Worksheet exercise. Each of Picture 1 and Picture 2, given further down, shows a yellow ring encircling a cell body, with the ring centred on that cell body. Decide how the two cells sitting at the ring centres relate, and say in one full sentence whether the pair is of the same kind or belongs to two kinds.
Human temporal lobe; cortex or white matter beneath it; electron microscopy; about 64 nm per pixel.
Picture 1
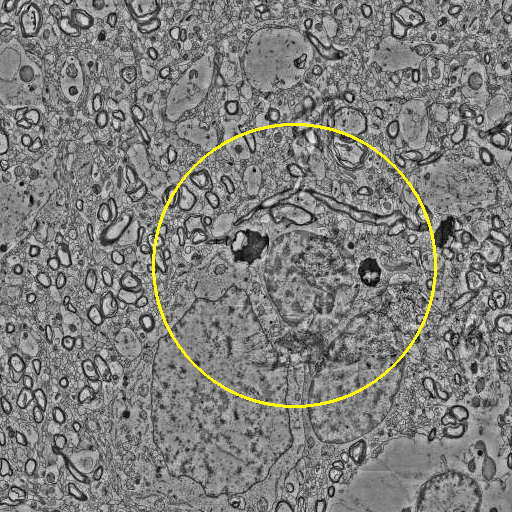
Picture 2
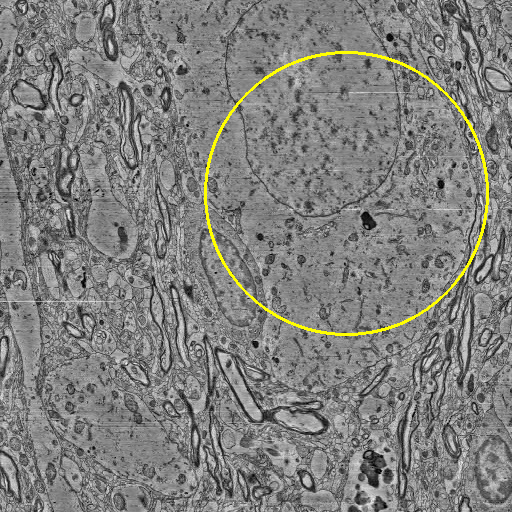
The cells at the ring centres in Picture 1 and Picture 2 belong to two kinds.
